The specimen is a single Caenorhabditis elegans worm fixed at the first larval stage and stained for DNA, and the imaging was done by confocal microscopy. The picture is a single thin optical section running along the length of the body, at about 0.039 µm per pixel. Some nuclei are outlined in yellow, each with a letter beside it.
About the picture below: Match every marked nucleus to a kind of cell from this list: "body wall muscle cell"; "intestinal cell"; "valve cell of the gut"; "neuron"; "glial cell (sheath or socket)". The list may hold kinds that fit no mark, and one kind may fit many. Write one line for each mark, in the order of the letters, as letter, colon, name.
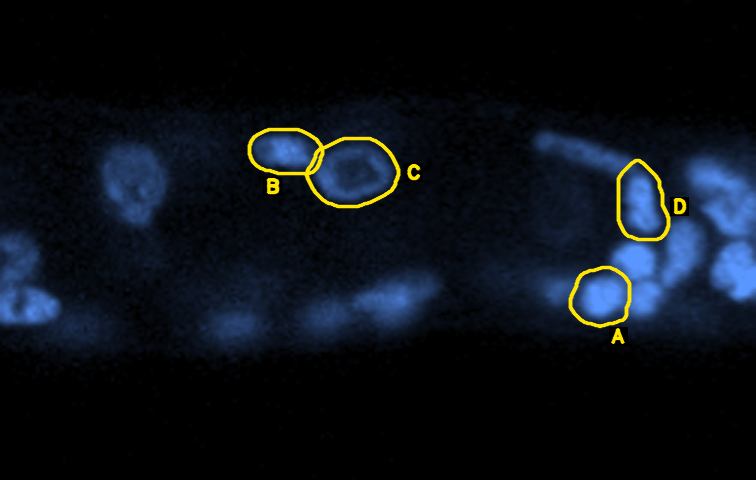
A: neuron
B: body wall muscle cell
C: intestinal cell
D: valve cell of the gut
